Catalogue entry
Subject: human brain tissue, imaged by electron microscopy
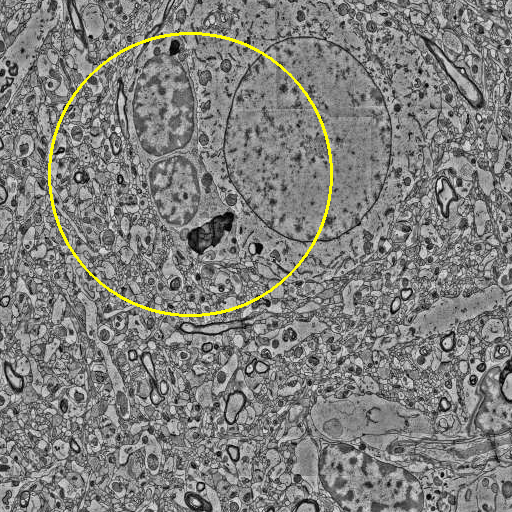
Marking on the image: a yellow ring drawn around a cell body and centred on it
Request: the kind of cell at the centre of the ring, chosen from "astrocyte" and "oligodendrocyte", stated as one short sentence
The ring has an oligodendrocyte at its centre.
